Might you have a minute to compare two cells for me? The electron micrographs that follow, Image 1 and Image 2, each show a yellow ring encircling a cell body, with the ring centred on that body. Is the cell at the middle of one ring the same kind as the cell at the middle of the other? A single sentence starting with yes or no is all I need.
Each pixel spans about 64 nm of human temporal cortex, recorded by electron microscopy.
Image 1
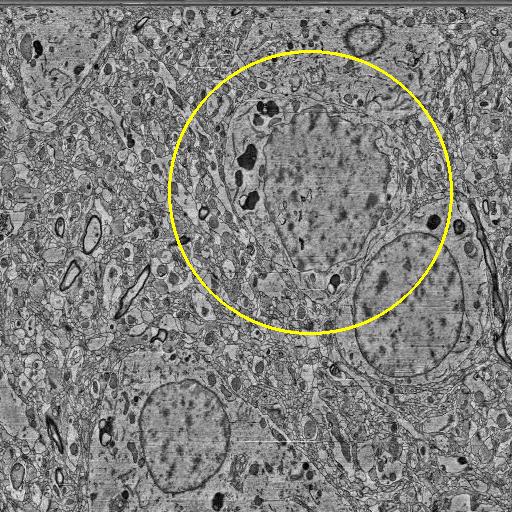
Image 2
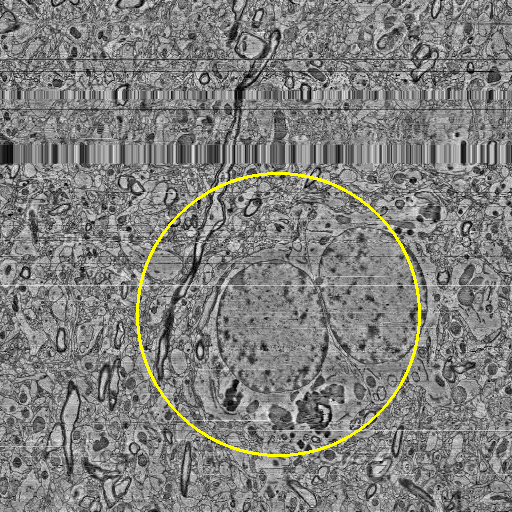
No, the cells in the middle of the two rings are of two separate kinds.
